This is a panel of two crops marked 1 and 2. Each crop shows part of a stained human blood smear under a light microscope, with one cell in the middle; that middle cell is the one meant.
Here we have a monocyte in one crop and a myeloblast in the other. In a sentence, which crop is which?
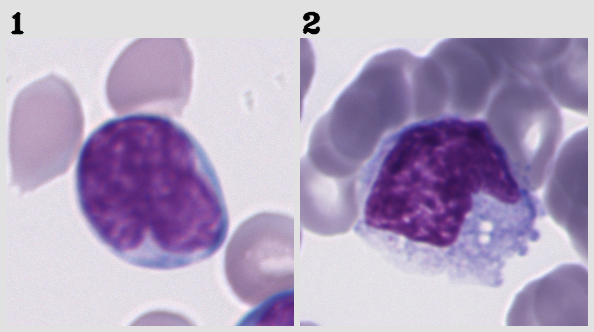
Identification: crop 1 is a myeloblast; crop 2 is a monocyte.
